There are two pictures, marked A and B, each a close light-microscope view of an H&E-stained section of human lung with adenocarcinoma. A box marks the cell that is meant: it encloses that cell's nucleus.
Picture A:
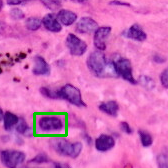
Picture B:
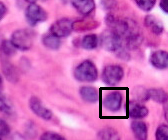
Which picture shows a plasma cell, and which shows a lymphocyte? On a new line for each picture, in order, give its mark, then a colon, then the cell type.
A: plasma cell
B: lymphocyte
